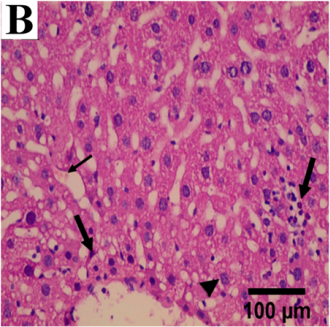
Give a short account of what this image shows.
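This is liver parenchyma with plates of hepatocytes running toward a vein at the bottom. Many hepatocytes have pale, bubbly cytoplasm with clear vacuoles around their round purple nuclei, and the sinusoids between the plates look widened. At the right a small cluster of small, dark nuclei sits among the hepatocytes, a focal gathering of inflammatory cells.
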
